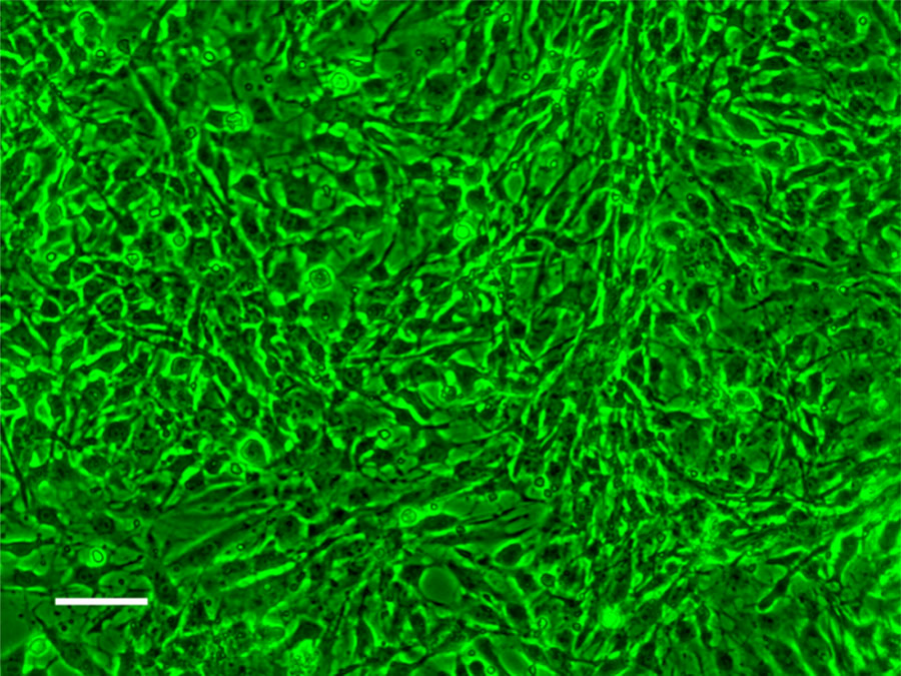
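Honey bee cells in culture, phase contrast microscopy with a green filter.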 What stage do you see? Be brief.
Confluent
